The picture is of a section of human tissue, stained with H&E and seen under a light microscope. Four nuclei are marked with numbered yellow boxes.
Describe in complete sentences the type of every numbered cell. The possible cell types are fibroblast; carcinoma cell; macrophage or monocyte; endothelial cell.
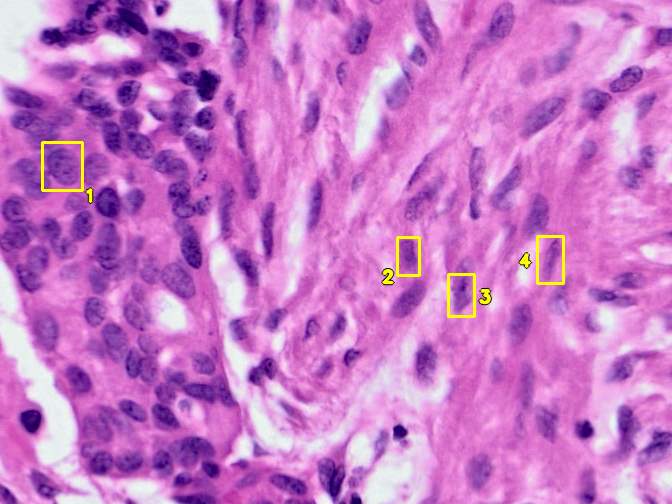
Cell 1 is a carcinoma cell. Cells 2, 3 and 4 are fibroblasts.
